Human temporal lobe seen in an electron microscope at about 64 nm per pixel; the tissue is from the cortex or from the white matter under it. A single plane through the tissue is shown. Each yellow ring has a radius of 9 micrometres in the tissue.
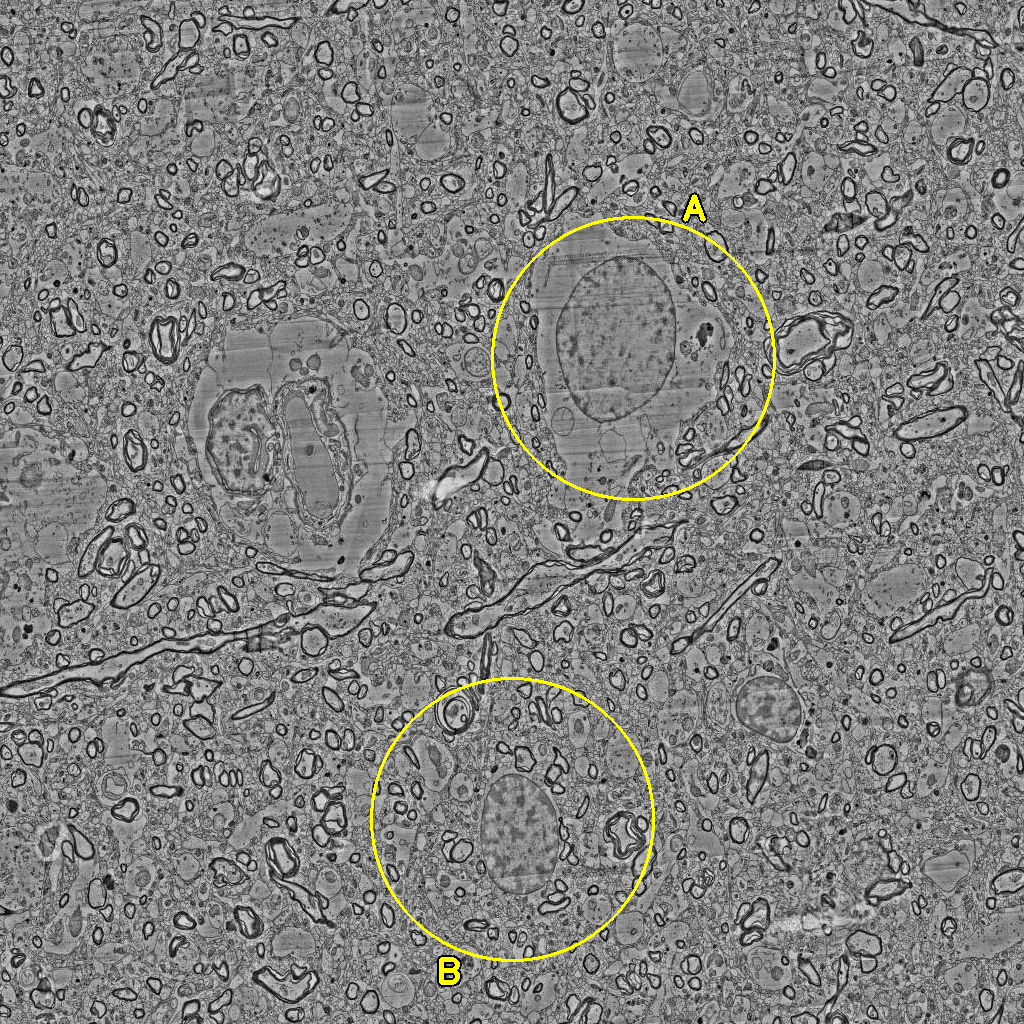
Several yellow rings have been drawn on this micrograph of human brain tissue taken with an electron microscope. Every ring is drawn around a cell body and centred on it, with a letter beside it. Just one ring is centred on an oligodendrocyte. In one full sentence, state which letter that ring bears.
At the centre of ring B is a cell of that kind.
